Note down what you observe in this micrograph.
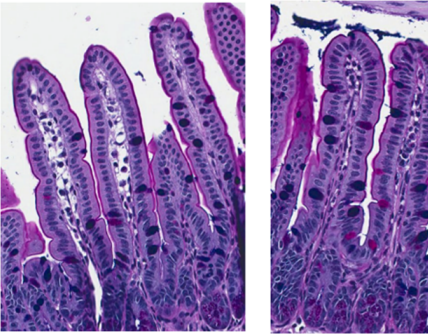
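Two side-by-side views of small intestinal villi, each lined by a single layer of tall columnar epithelial cells with goblet cells scattered among them. The villi are finger-like projections whose epithelium has elongated, darkly stained nuclei lying toward the base of the cells. The luminal surface carries a thin magenta-stained border along the tips and sides of the villi. Goblet cells appear as oval, dark blue-purple bodies interspersed singly within the epithelial lining. The core of each villus holds loosely arranged connective tissue with scattered small cells, and crypt tissue is visible at the lower edge of the images.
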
